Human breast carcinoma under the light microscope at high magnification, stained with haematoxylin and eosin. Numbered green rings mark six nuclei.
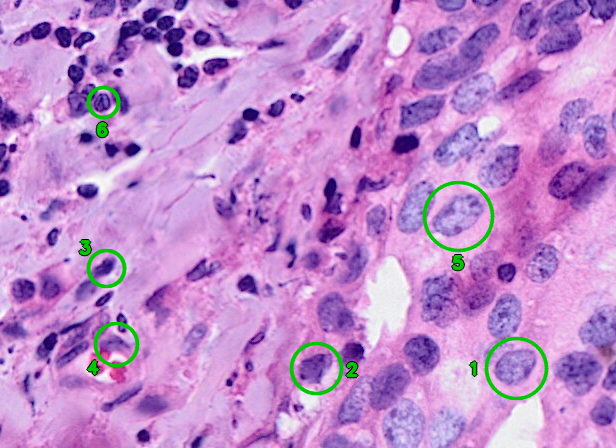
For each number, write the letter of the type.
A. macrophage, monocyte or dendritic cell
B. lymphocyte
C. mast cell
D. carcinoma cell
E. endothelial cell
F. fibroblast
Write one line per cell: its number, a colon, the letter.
1: D
2: D
3: B
4: E
5: D
6: B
